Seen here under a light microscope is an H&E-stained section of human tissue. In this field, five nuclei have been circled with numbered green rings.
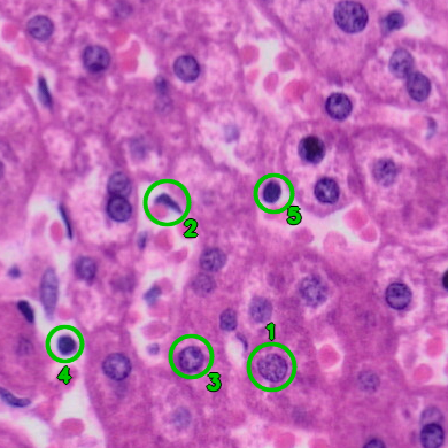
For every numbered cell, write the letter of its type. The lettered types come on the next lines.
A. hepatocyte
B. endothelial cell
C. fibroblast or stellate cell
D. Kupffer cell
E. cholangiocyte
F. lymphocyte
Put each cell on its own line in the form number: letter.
1: A
2: B
3: A
4: F
5: F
